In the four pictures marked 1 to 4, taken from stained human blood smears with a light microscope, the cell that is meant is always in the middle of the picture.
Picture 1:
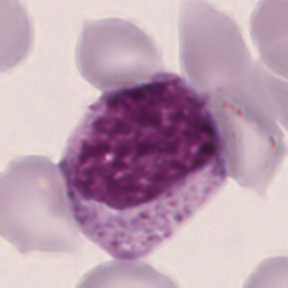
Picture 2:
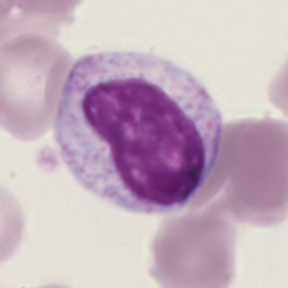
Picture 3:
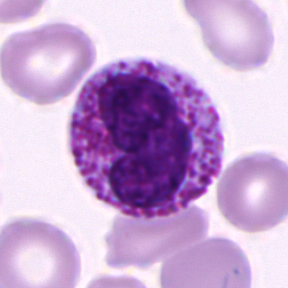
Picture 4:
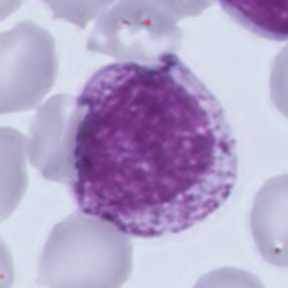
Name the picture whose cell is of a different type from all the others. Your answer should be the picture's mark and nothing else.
3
